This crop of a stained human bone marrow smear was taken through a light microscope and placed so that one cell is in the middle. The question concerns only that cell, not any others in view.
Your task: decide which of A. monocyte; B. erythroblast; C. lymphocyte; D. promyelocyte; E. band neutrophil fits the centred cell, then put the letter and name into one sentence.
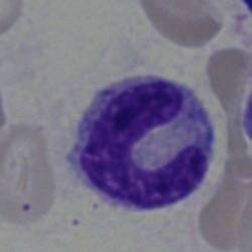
The middle of the crop holds a band neutrophil, which points to option E.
